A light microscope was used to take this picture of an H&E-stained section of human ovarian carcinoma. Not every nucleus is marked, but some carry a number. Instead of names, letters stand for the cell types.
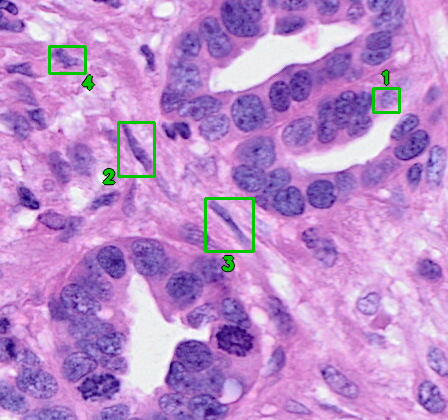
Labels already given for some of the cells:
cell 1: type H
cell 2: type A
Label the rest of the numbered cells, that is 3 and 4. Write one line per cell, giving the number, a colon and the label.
3: type A
4: type A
